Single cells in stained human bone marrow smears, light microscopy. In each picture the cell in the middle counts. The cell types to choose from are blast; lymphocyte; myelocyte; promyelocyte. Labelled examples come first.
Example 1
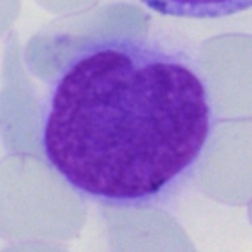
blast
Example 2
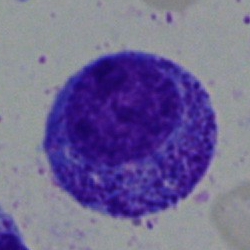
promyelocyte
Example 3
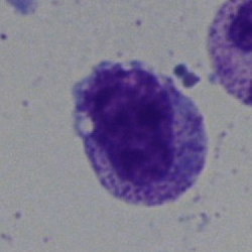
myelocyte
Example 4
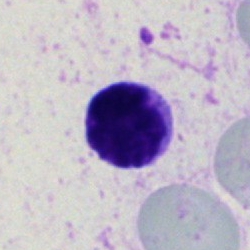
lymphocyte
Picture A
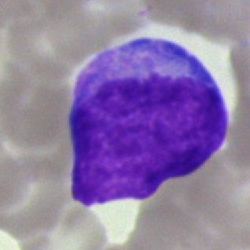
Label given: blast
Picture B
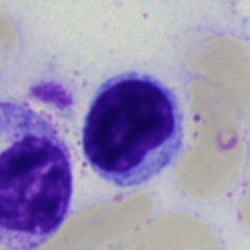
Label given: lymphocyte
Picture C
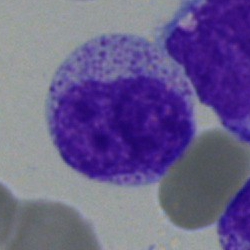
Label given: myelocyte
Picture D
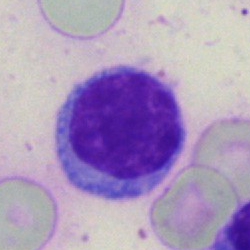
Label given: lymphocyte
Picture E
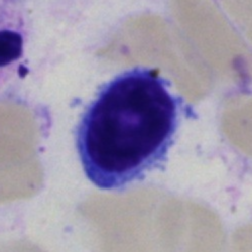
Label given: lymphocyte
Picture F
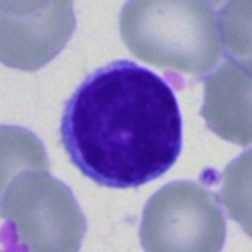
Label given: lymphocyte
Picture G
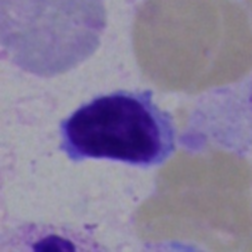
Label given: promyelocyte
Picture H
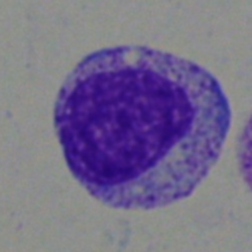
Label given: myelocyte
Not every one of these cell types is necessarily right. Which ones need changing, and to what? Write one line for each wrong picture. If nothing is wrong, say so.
G: change promyelocyte to lymphocyte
